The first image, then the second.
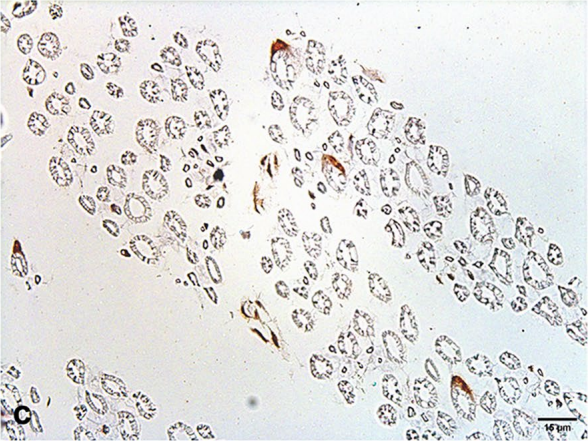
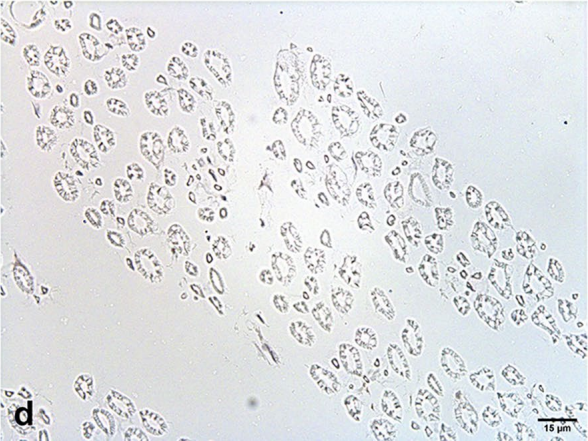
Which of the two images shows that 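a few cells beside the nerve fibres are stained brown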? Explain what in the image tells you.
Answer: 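Second image: all fibre profiles are colourless, with no brown deposits. First image: several small brown profiles sit at the edges of nerve fibres.
Conclusion: the first image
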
